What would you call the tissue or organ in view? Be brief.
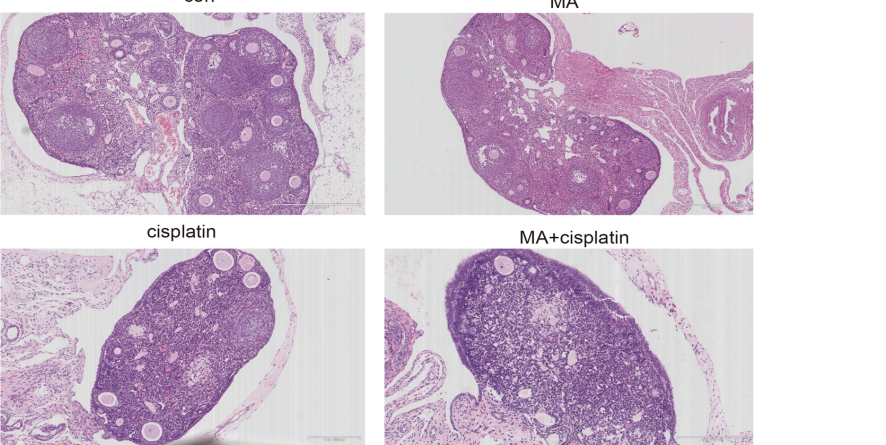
Ovary.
